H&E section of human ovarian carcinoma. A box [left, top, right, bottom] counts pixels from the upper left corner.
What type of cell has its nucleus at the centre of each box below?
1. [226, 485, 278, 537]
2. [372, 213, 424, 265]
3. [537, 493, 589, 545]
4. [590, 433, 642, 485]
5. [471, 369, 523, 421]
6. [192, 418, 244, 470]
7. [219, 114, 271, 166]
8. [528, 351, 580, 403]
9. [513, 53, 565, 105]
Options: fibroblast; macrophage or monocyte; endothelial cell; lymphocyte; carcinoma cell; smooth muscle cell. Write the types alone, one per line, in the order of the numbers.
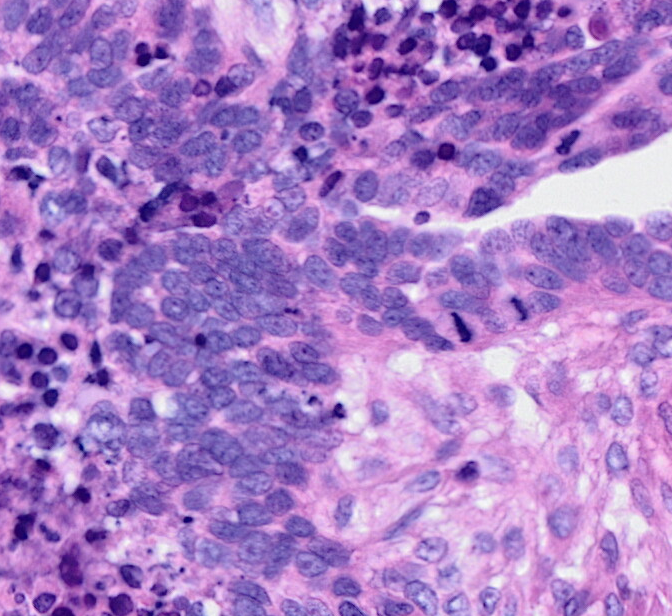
carcinoma cell
carcinoma cell
fibroblast
fibroblast
fibroblast
carcinoma cell
carcinoma cell
fibroblast
carcinoma cell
